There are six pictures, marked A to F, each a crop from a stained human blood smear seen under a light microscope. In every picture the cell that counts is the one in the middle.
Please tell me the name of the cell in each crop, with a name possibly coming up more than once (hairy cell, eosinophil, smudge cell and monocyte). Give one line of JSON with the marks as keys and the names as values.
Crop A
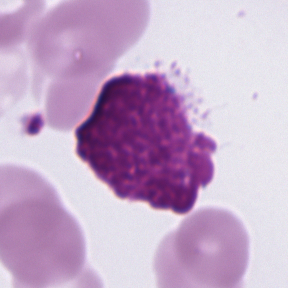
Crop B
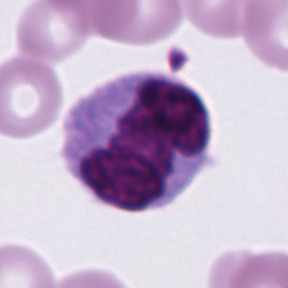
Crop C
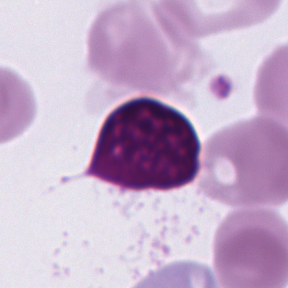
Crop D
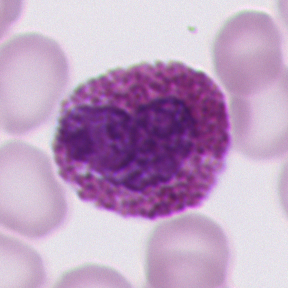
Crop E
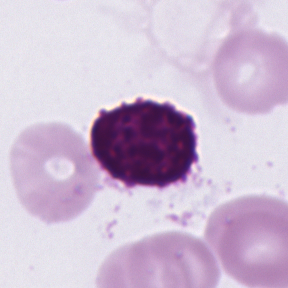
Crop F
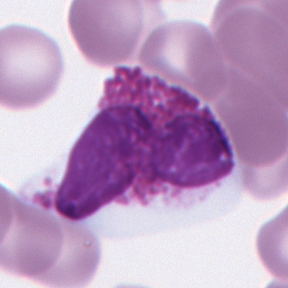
{"A": "smudge cell", "B": "monocyte", "C": "smudge cell", "D": "eosinophil", "E": "smudge cell", "F": "eosinophil"}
